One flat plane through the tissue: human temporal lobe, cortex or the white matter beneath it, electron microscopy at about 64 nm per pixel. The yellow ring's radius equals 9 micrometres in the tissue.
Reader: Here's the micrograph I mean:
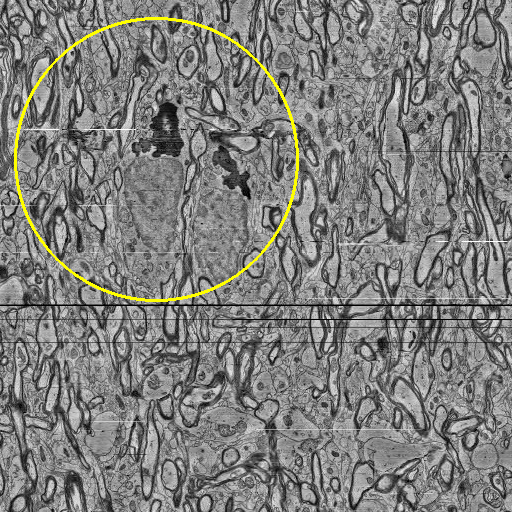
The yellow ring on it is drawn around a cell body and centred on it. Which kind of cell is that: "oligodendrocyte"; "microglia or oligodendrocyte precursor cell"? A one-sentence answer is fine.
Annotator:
The ring is centred on an oligodendrocyte.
